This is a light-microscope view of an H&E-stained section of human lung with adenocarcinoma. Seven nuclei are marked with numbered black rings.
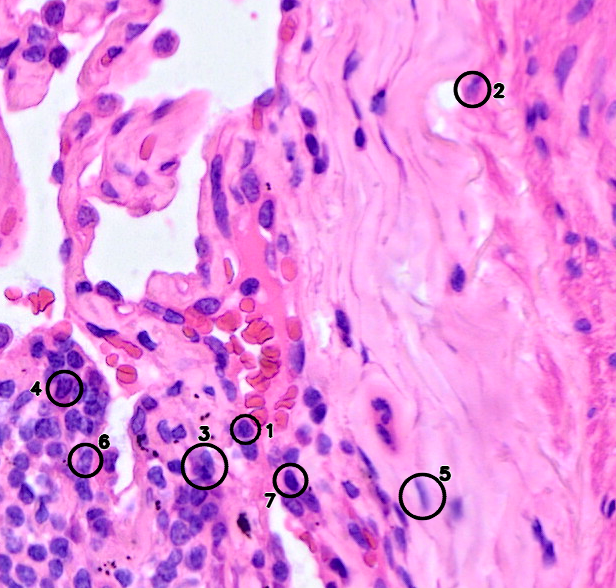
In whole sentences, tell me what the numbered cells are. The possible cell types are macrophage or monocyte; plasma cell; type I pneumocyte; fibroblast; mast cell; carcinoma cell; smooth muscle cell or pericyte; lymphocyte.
Cells 1, 3, 6 and 7 are lymphocytes. Cell 2 is a smooth muscle cell or pericyte. Cell 4 is a plasma cell. Cell 5 is a fibroblast.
